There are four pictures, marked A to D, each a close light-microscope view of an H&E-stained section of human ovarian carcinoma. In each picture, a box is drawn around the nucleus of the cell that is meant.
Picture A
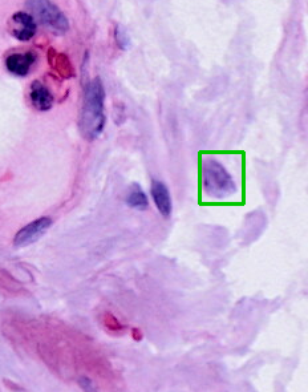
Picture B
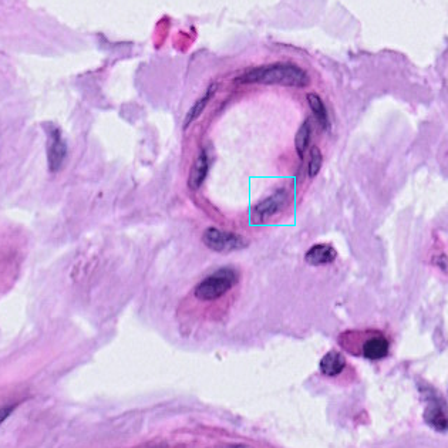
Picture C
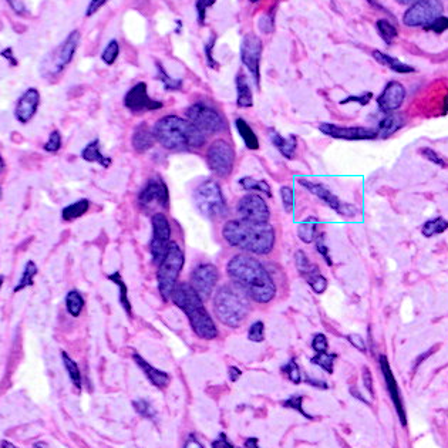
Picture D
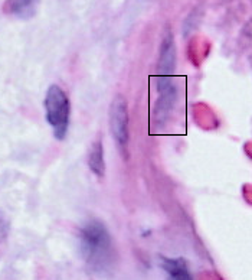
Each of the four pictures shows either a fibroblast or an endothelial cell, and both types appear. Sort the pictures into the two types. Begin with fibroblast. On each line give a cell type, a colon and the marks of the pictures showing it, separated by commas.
fibroblast: A, C
endothelial cell: B, D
